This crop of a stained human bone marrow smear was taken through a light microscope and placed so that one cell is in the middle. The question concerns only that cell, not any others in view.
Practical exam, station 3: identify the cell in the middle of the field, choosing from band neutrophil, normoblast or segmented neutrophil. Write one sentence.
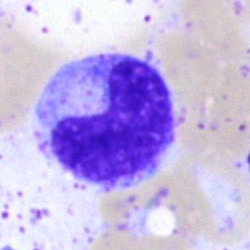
Present in the middle of the crop is a band neutrophil.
